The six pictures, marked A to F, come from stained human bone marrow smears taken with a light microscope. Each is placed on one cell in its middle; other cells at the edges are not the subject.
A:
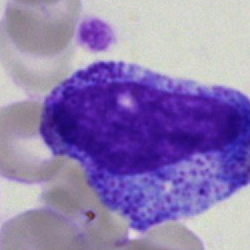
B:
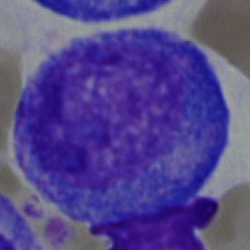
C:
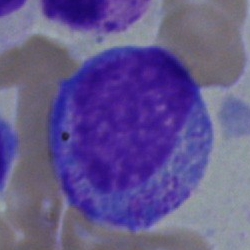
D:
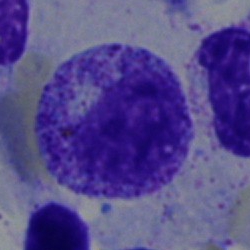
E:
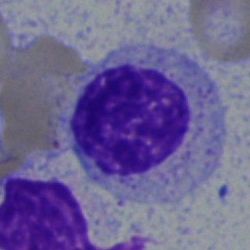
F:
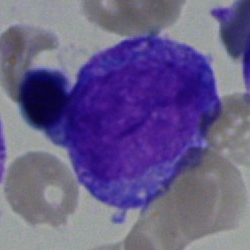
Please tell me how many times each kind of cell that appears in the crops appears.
promyelocyte: 4
myelocyte: 2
